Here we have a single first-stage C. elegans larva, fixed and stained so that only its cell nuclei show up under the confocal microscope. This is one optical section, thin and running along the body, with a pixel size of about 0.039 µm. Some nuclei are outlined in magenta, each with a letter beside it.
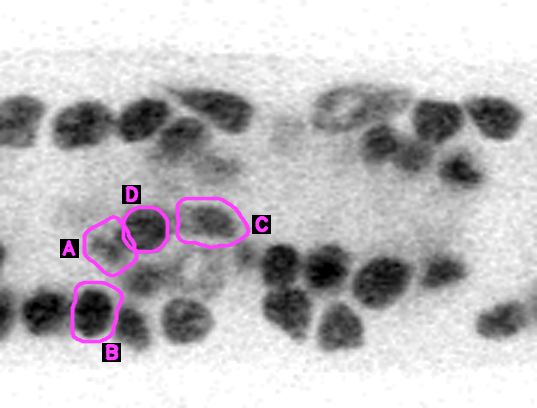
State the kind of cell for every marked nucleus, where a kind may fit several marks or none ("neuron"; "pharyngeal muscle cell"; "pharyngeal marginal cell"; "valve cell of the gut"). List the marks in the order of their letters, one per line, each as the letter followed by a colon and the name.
A: neuron
B: neuron
C: pharyngeal marginal cell
D: pharyngeal muscle cell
